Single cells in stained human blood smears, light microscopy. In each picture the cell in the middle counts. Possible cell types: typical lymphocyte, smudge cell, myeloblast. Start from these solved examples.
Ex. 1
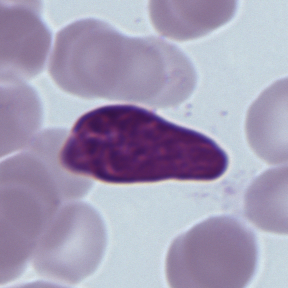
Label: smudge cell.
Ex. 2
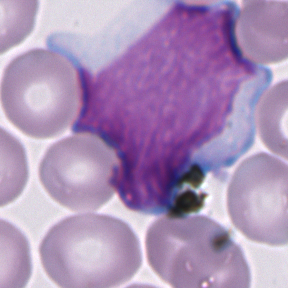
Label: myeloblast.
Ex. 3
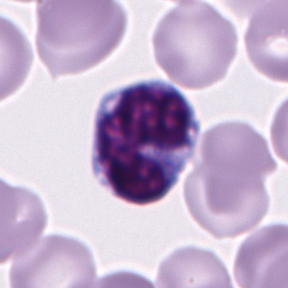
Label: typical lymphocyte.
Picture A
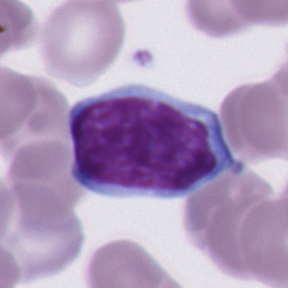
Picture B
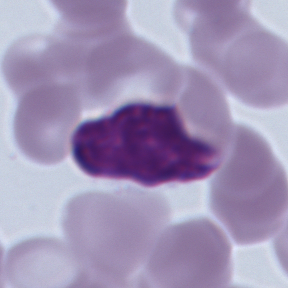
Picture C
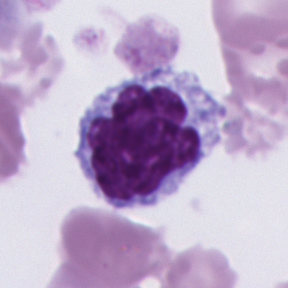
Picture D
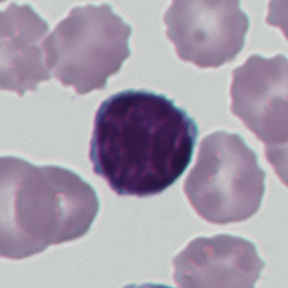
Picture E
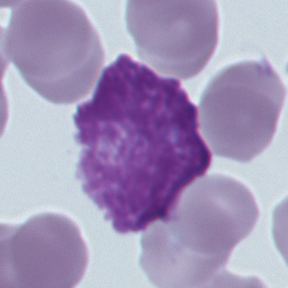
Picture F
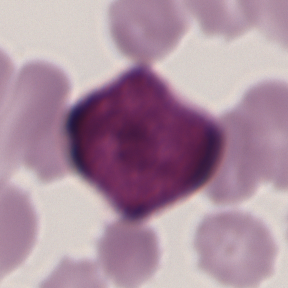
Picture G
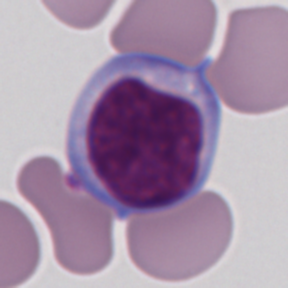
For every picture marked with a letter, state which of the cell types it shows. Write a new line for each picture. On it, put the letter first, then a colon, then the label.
A: typical lymphocyte.
B: smudge cell.
C: typical lymphocyte.
D: typical lymphocyte.
E: smudge cell.
F: myeloblast.
G: typical lymphocyte.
